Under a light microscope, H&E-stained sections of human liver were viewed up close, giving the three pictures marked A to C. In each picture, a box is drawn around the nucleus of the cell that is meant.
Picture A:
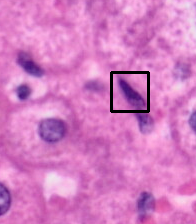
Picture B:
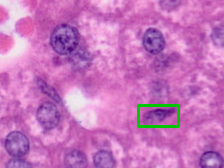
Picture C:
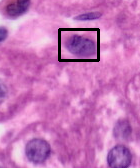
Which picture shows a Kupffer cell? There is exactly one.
C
